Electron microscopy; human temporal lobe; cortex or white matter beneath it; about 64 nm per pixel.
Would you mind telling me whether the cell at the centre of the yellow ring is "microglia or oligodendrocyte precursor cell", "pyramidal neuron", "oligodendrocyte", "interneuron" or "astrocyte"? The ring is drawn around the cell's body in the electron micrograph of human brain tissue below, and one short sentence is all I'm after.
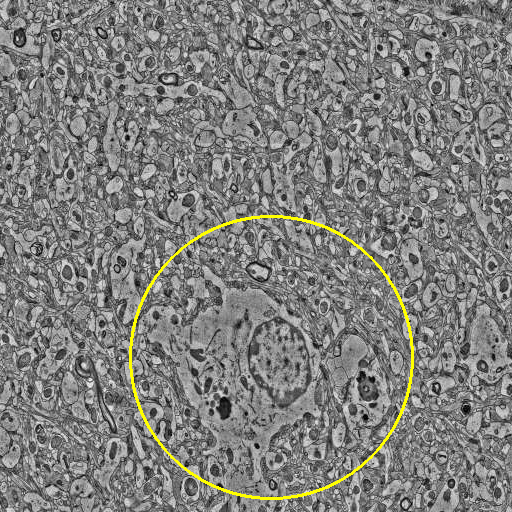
In the centre of the ring lies an astrocyte.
